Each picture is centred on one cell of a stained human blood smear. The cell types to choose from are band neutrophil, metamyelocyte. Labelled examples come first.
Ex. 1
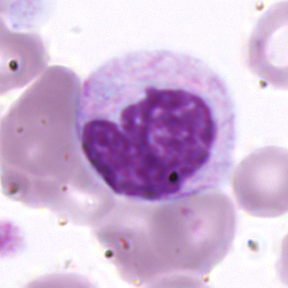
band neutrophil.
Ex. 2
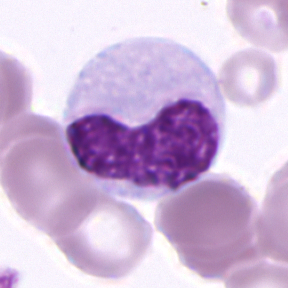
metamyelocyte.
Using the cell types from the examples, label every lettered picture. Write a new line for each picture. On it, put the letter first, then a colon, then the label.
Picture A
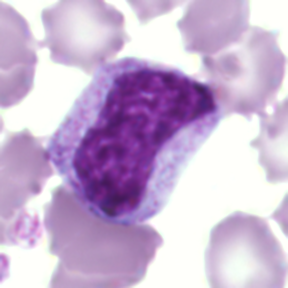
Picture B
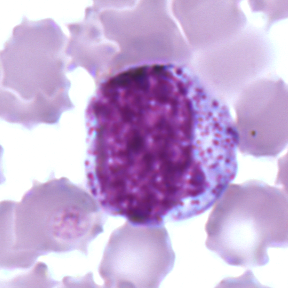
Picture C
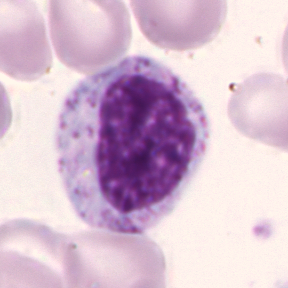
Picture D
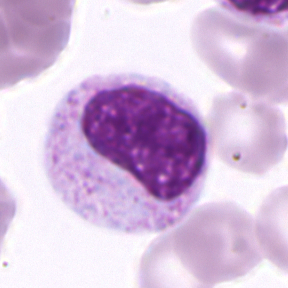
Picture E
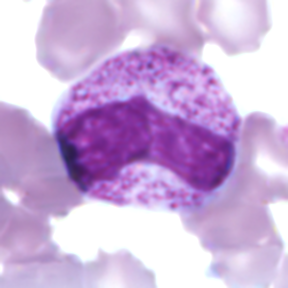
A: metamyelocyte.
B: metamyelocyte.
C: metamyelocyte.
D: metamyelocyte.
E: band neutrophil.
